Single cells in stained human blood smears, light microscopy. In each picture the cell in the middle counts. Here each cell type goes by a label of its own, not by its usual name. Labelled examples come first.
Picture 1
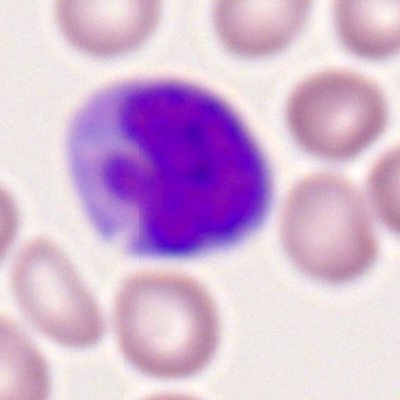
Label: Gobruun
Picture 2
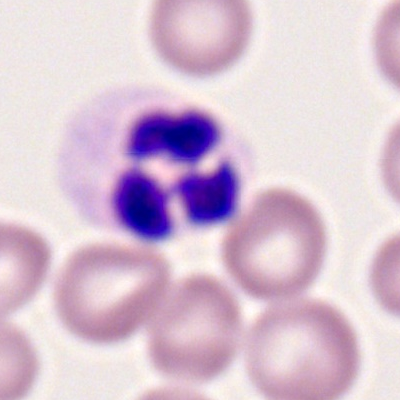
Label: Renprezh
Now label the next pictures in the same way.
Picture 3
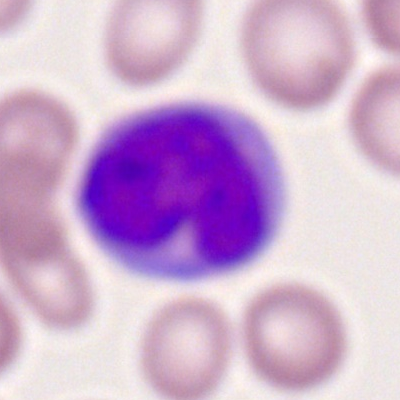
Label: Gobruun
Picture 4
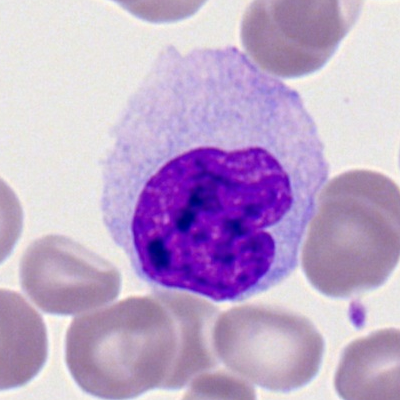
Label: Gobruun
